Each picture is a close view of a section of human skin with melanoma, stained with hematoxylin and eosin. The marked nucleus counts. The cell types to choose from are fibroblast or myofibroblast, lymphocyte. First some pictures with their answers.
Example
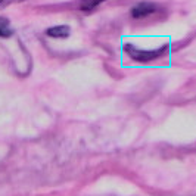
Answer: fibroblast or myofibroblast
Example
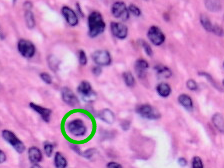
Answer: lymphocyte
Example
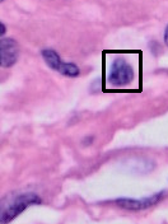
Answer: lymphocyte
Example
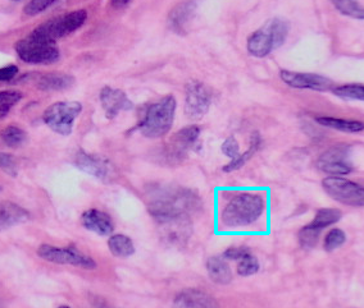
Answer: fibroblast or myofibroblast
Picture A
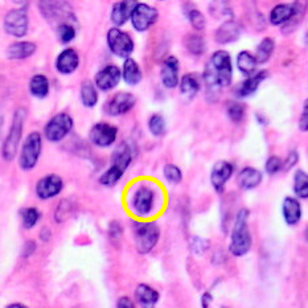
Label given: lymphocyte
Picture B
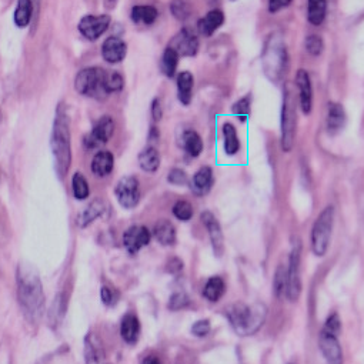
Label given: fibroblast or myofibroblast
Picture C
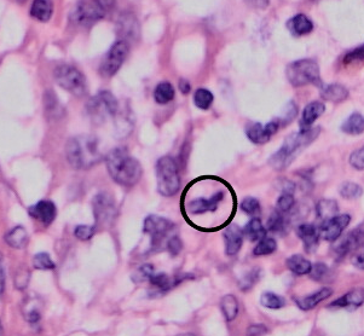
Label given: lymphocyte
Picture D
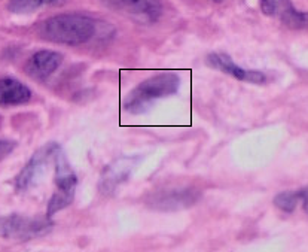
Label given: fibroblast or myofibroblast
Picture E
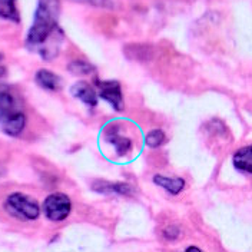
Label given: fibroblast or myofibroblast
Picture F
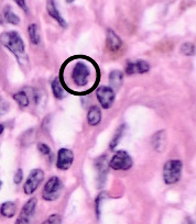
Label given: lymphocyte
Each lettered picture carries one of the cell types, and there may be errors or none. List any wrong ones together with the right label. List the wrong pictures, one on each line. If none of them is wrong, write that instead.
B: lymphocyte, not fibroblast or myofibroblast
